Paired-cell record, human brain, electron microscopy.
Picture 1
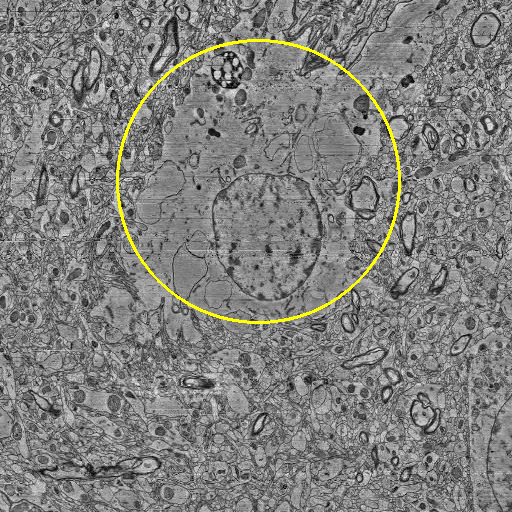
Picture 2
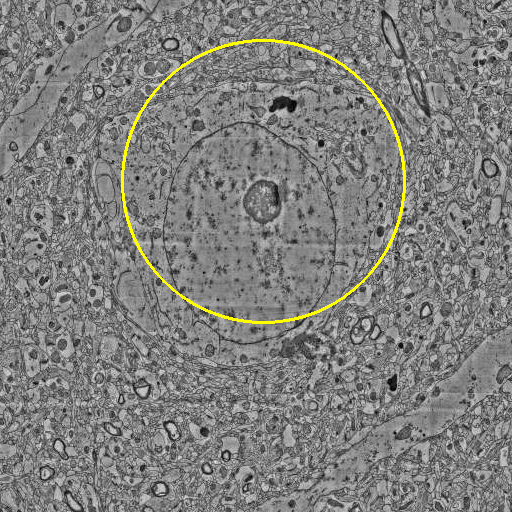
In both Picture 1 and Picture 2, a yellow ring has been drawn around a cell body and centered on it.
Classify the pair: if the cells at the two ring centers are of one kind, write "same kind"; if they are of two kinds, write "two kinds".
two kinds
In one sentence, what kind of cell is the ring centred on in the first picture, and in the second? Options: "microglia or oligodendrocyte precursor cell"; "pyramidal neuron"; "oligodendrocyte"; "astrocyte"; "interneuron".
The cell at the centre of the second ring is a pyramidal neuron; the first ring's cell is an astrocyte.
